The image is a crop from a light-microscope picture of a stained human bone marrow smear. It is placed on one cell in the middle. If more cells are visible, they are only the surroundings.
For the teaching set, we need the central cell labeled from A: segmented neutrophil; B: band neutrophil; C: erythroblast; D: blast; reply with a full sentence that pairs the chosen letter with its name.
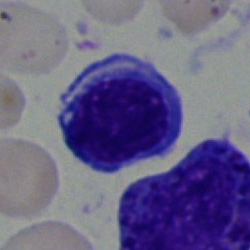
Of the options given, C is correct, the central cell being an erythroblast.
